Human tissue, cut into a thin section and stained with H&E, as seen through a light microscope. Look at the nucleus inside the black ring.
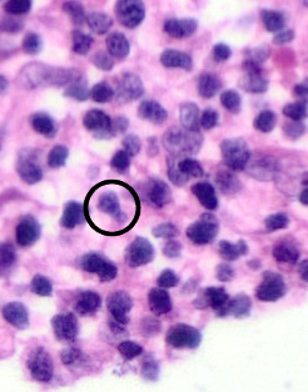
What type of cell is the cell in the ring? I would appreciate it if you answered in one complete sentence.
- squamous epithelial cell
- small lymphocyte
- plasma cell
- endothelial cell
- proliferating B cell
With respect to cell type, the cell in the ring is a proliferating B cell.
